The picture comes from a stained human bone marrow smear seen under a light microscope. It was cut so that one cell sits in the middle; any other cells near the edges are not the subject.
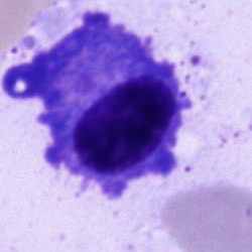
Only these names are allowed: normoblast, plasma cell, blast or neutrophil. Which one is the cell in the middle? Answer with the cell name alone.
plasma cell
